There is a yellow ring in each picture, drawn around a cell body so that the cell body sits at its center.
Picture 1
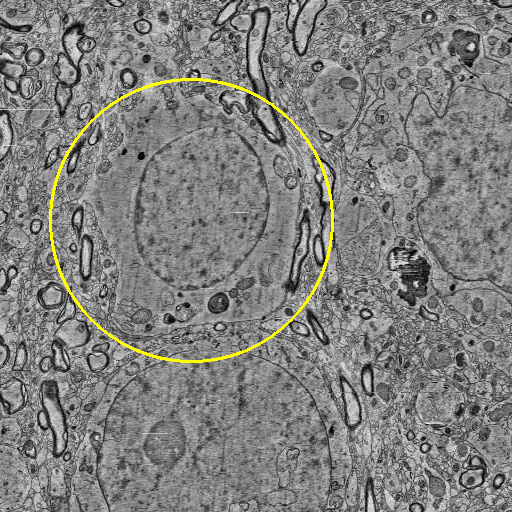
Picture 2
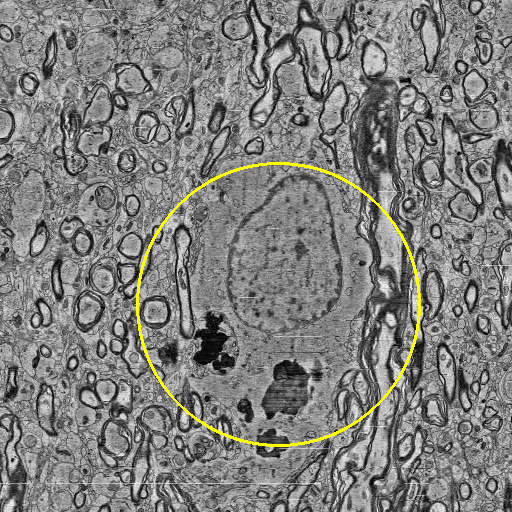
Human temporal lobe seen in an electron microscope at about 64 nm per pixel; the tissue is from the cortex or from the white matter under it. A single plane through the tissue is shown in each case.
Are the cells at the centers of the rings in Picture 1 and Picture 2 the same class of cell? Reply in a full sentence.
Yes, the two cells are the same class of cell.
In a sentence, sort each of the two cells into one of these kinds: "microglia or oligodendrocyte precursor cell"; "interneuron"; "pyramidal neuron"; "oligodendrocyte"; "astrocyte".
In each picture the ringed cell is an astrocyte.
